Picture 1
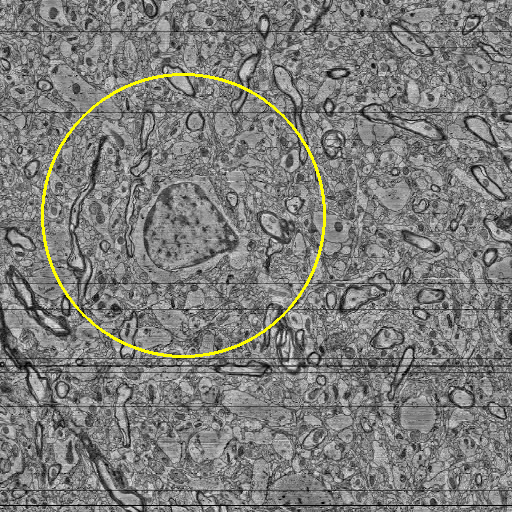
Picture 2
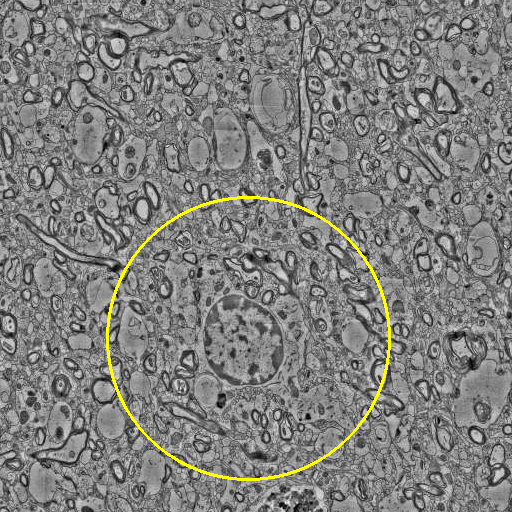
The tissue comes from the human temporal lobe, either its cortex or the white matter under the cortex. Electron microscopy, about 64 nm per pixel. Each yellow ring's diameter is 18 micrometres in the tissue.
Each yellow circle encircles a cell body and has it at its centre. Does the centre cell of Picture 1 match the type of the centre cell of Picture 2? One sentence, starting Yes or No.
Yes, the cell centred in Picture 1 and the one in Picture 2 share a type.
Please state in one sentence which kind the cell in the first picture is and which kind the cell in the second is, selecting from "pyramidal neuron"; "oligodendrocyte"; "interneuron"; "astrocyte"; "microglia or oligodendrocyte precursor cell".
Each of the two rings is centred on a microglial cell or oligodendrocyte precursor cell.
